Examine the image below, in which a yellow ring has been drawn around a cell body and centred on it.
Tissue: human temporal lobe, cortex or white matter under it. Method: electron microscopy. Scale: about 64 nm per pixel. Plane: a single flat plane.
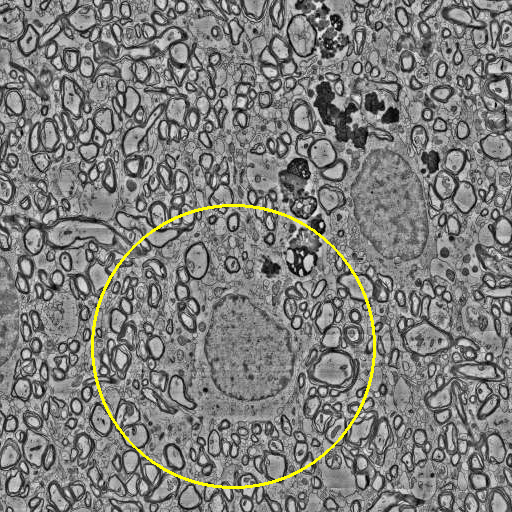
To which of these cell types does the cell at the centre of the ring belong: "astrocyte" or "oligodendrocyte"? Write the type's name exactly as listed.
astrocyte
